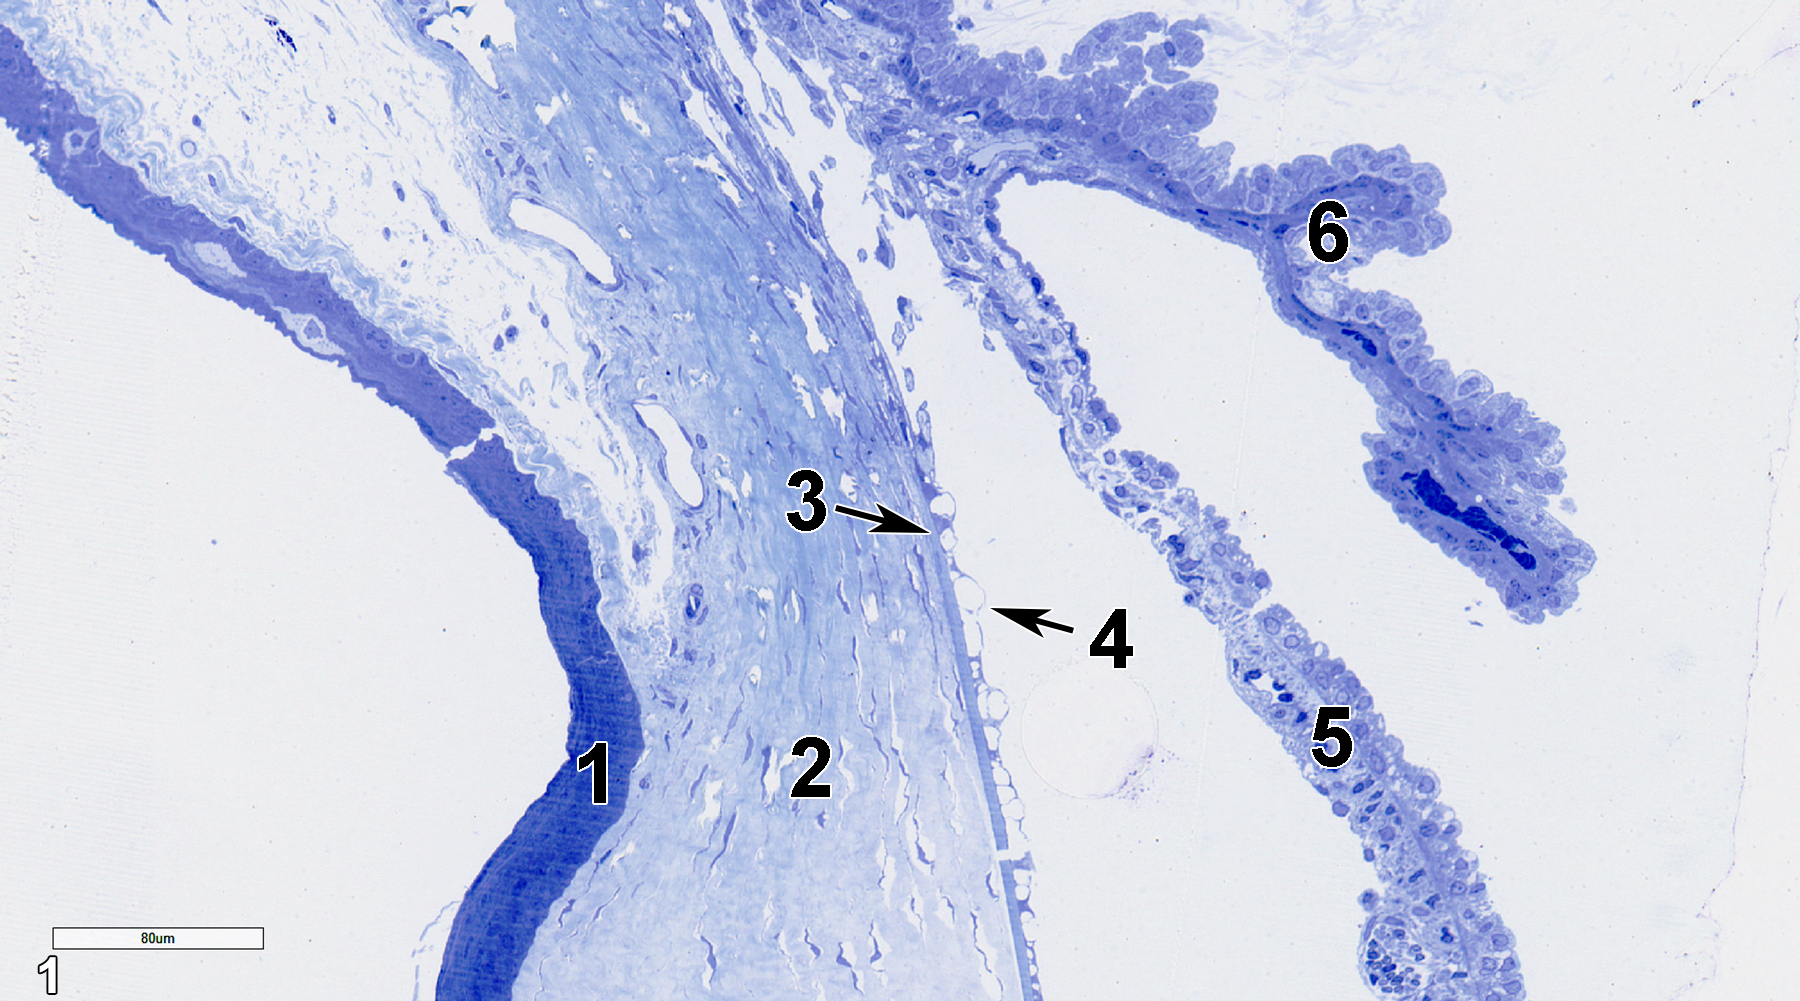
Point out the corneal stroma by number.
2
